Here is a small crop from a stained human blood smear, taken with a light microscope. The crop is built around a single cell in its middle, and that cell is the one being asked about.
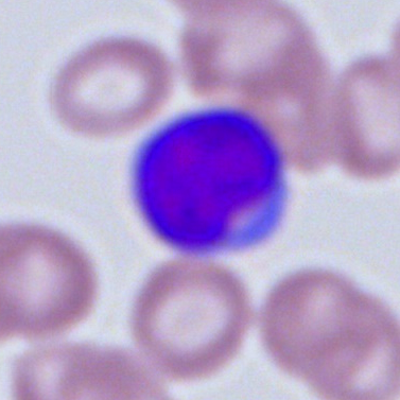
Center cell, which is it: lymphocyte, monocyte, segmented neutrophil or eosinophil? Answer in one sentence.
What sits at the centre of this crop is a lymphocyte.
